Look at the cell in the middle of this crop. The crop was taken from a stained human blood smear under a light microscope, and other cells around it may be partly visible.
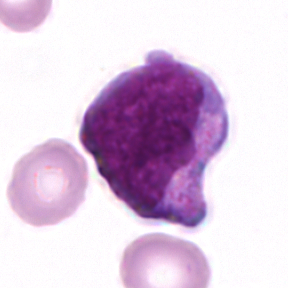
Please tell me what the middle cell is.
atypical promyelocyte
